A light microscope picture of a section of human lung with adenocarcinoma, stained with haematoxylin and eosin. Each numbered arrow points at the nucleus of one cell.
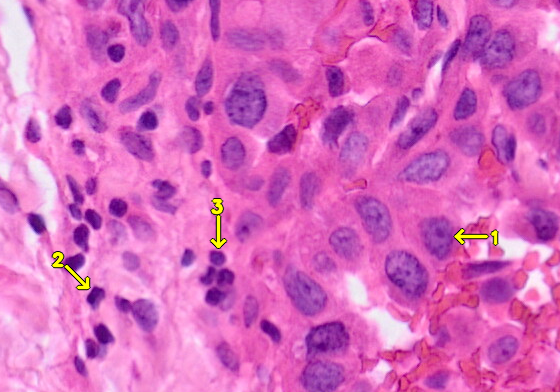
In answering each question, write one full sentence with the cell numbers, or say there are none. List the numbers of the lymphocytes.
Cells 2 and 3 are of one type, namely lymphocytes.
